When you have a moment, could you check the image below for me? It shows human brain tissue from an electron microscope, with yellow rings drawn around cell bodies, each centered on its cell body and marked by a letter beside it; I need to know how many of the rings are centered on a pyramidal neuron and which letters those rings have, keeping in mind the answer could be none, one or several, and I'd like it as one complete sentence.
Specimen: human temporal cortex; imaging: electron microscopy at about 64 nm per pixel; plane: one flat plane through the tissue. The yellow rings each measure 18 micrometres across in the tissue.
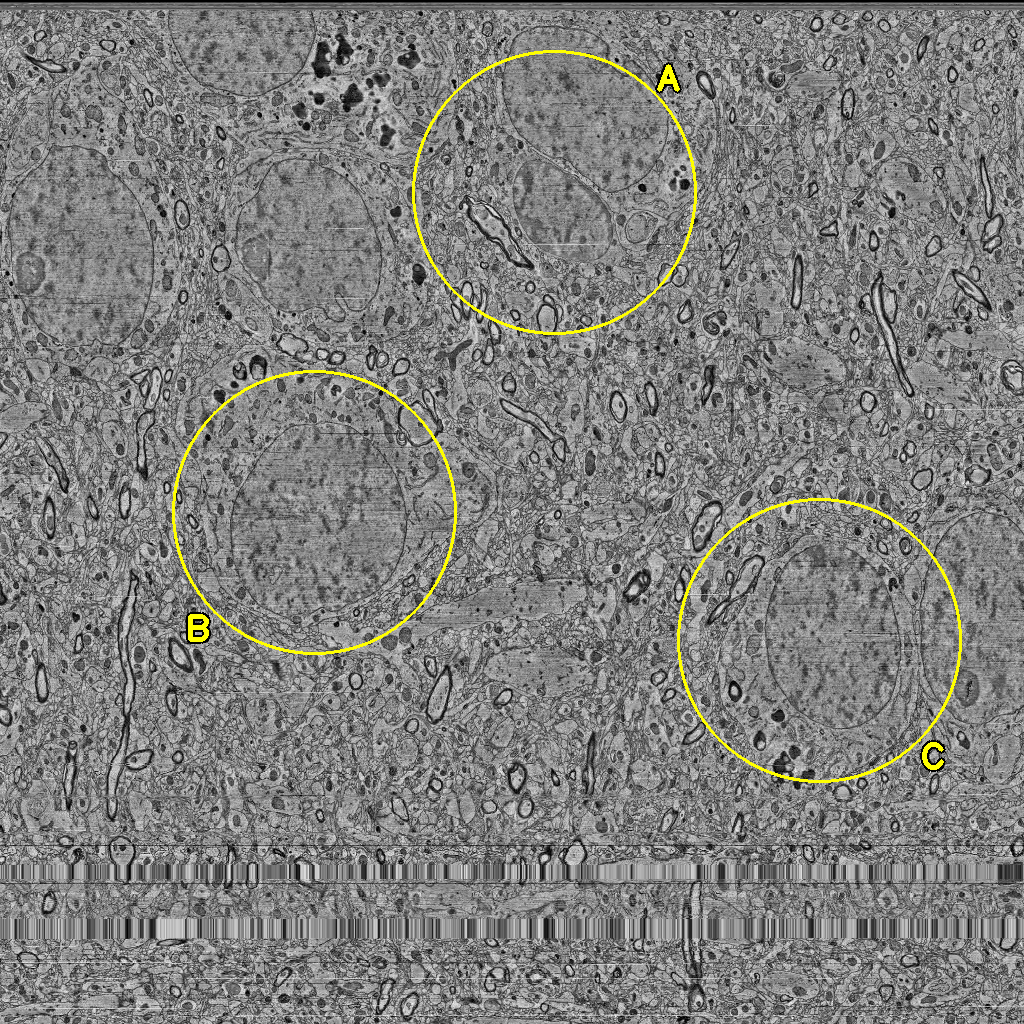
The rings carrying the letters B and C are two in total, each with a pyramidal neuron at its centre.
